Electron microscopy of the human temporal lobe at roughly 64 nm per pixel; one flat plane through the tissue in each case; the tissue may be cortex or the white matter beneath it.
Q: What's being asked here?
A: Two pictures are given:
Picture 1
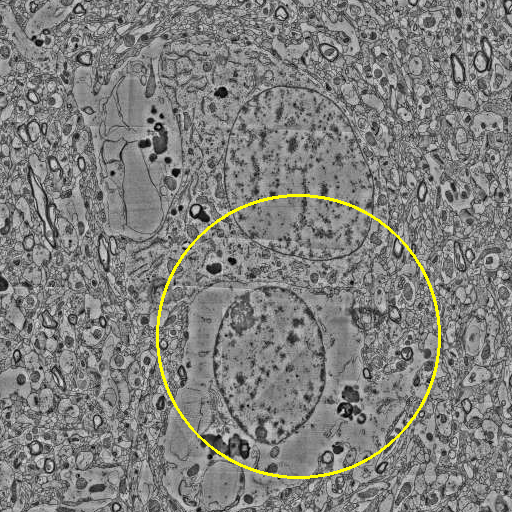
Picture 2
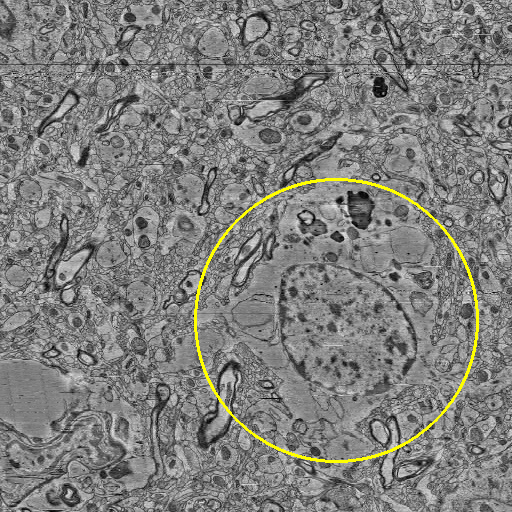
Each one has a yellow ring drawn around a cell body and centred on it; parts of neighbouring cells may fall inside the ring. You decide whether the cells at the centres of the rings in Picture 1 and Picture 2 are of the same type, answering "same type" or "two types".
same type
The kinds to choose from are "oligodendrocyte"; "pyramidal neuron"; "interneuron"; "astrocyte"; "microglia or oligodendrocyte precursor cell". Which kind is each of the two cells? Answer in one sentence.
The cell in the first picture is an astrocyte, and so is the one in the second.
